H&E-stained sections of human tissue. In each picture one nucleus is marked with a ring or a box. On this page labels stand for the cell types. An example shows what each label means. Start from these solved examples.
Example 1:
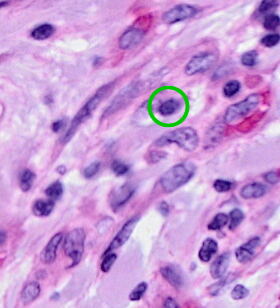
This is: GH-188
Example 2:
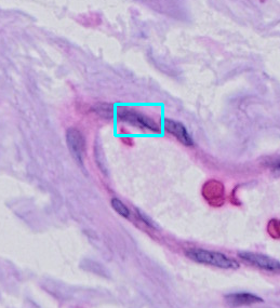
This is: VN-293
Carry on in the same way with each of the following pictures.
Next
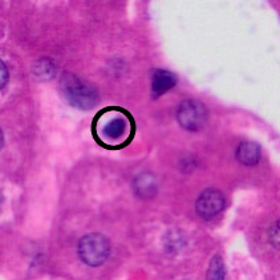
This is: GH-188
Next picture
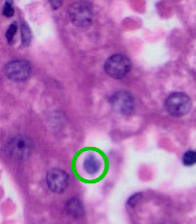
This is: GH-188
